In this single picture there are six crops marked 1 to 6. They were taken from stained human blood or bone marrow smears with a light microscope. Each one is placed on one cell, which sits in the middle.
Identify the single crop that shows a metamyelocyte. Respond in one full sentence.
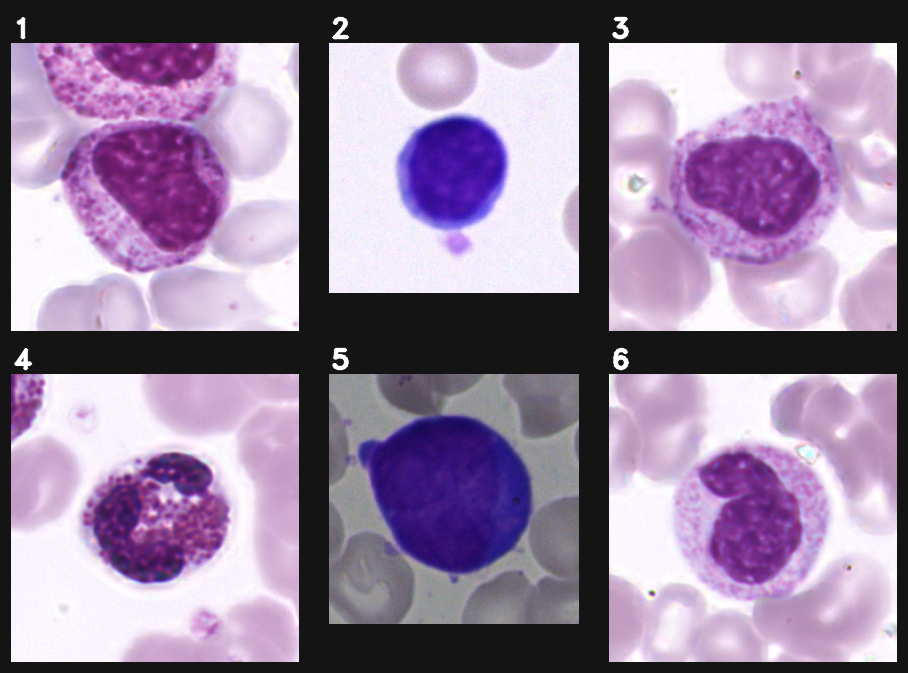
The crop marked 3 is the one in which a metamyelocyte is shown.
